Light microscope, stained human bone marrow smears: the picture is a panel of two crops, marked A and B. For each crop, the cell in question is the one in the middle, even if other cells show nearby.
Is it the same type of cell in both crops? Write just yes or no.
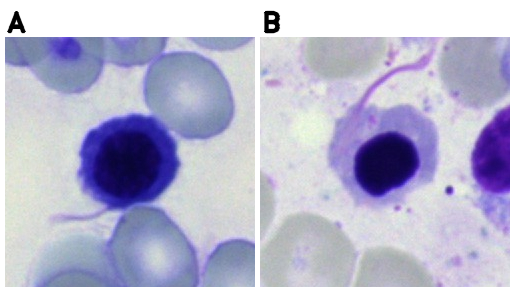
yes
